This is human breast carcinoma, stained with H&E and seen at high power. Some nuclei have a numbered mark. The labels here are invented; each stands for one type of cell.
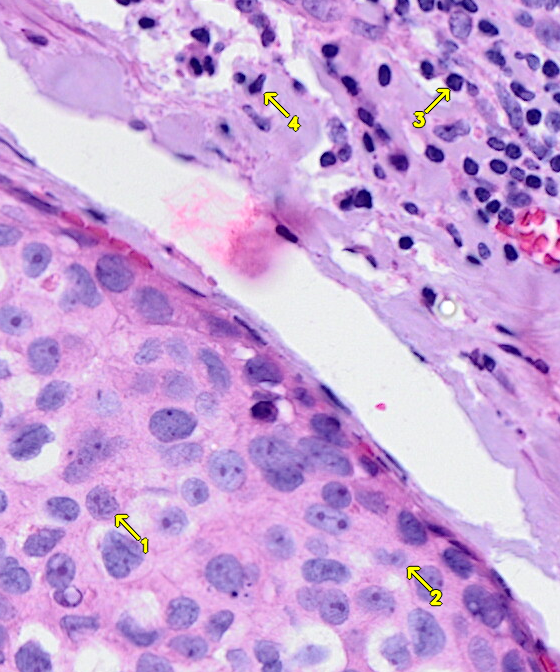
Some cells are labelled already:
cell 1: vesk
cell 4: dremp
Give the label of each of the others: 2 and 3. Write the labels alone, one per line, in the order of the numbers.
vesk
dremp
